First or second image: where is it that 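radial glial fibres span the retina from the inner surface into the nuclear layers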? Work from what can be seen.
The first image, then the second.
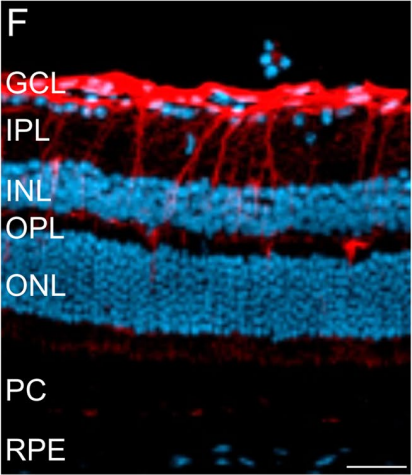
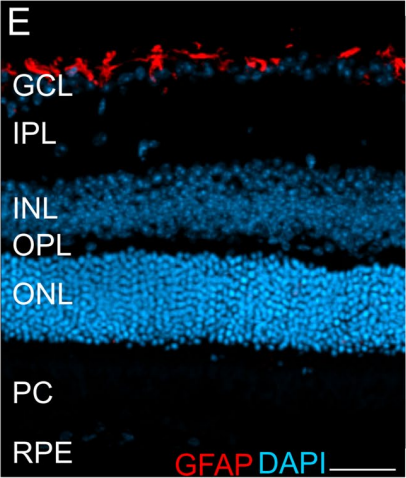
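Second image: red staining is confined to small patches at the inner surface with no radial fibres. First image: a thick red band at the inner surface with many red fibres running vertically through the inner layers. The answer: the first image.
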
